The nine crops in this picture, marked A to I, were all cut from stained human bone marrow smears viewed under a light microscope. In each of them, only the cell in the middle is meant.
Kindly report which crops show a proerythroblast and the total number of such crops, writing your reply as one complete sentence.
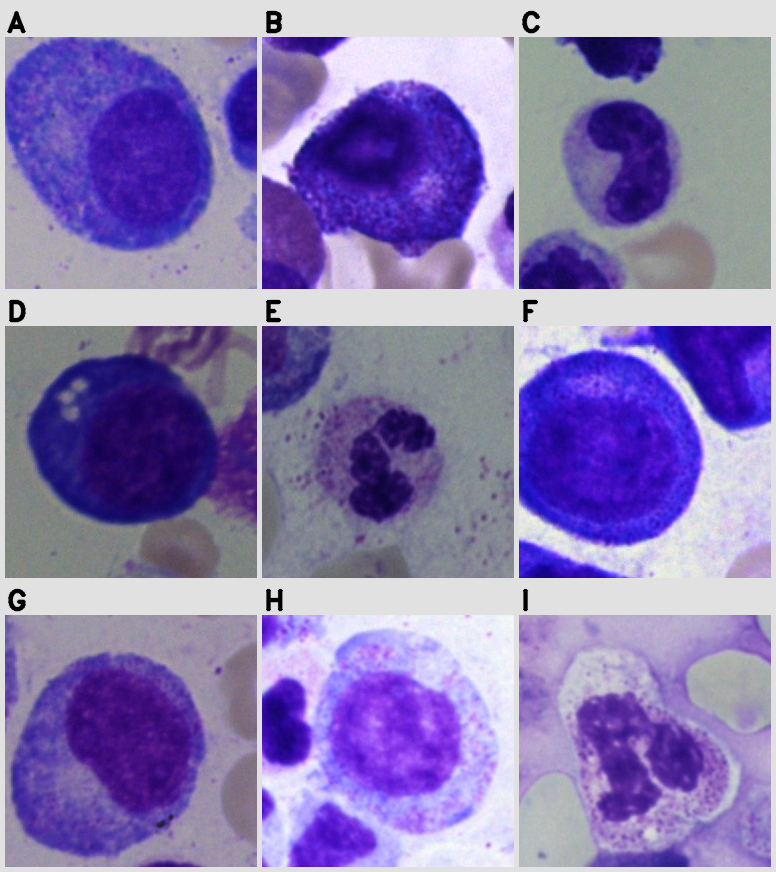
Of the several crops, crop D is the one with a proerythroblast.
